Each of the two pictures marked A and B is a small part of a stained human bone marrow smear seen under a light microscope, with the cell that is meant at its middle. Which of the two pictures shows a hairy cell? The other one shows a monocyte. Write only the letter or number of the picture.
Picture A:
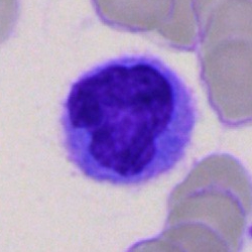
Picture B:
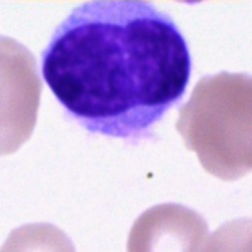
B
